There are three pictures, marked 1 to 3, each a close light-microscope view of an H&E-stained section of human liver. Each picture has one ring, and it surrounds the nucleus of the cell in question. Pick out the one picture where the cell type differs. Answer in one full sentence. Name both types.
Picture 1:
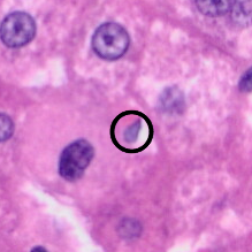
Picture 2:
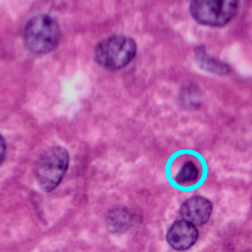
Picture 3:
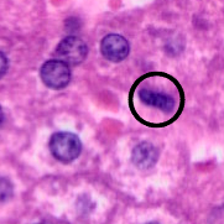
The others show “fibroblasts or stellate cells”, but picture 1 shows an endothelial cell.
